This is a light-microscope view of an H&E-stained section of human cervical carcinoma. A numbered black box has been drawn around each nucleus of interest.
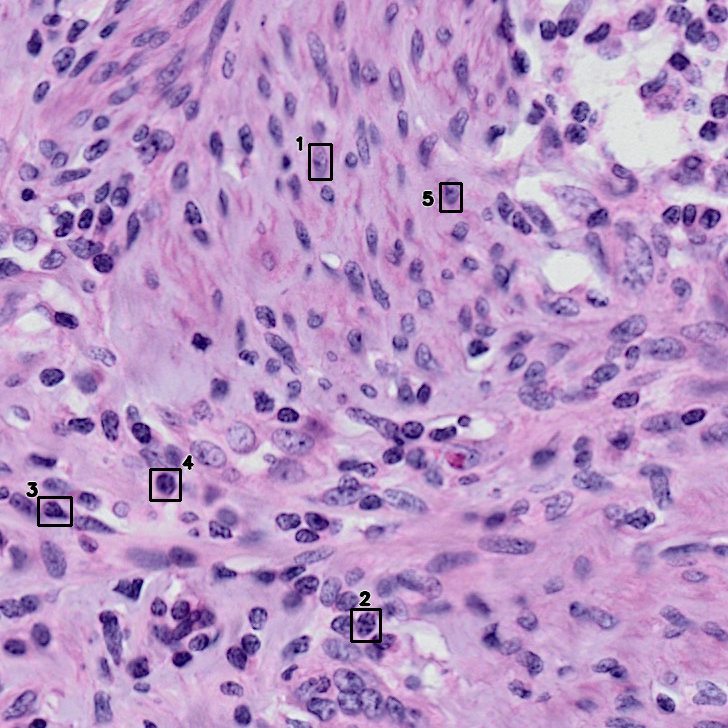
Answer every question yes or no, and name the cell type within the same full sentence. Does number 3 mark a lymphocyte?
Yes, that is correct: the cell numbered 3 is a lymphocyte.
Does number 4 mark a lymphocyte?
Yes, the cell sitting at number 4 is a lymphocyte.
